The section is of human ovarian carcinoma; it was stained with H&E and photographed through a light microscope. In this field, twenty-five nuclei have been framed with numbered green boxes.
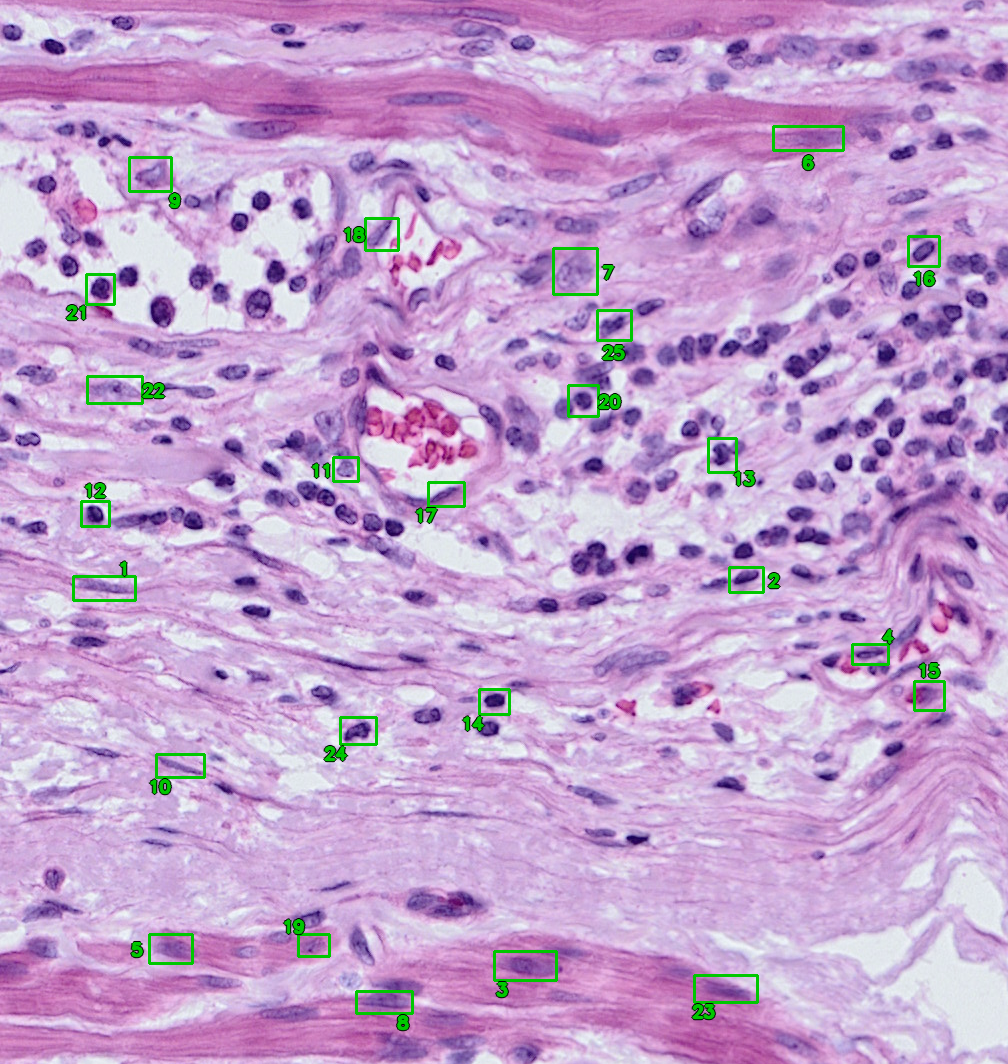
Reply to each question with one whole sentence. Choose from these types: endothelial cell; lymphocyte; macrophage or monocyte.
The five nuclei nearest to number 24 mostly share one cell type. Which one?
The majority of the five nuclei closest to number 24 belong to macrophages or monocytes.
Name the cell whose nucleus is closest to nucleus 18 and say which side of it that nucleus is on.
A macrophage or monocyte lies closest, below and to the left of nucleus 18.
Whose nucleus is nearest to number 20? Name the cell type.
Number 20 lies closest to the nucleus of a lymphocyte.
